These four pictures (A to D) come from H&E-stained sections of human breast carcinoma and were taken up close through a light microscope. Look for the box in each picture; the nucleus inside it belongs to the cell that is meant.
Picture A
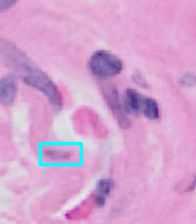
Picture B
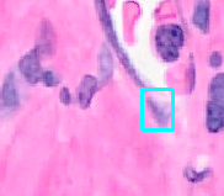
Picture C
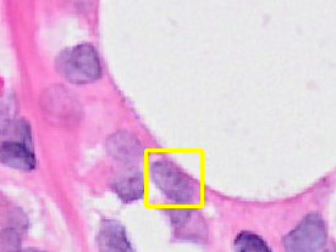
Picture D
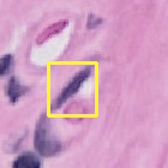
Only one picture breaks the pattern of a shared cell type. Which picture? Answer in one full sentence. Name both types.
The different one is picture C; it shows a carcinoma cell, whereas all the others show endothelial cells.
